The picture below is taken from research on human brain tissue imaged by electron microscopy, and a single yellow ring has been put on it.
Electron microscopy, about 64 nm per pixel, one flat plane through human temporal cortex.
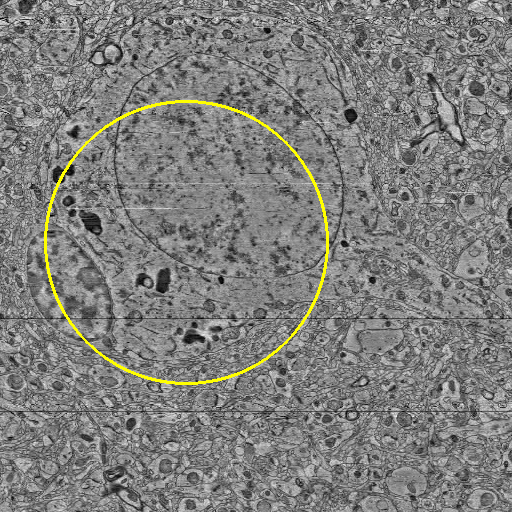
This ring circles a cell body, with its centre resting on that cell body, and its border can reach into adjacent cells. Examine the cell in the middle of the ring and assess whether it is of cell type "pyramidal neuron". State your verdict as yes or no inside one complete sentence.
Yes, in the picture, the cell lying at the centre of the ring is of this type.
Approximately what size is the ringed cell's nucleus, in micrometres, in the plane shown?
In this plane, the nucleus is roughly 16 by 13 micrometres.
